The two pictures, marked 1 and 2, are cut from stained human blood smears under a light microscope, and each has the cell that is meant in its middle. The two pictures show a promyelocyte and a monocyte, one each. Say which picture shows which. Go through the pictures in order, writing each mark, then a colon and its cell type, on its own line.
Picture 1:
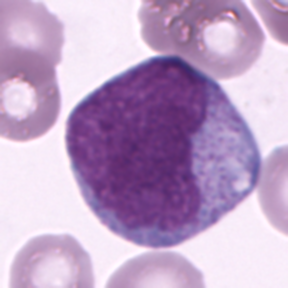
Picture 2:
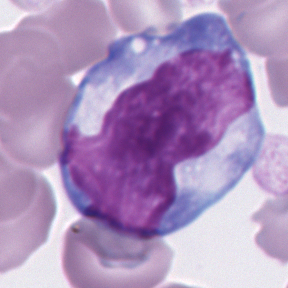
1: promyelocyte
2: monocyte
